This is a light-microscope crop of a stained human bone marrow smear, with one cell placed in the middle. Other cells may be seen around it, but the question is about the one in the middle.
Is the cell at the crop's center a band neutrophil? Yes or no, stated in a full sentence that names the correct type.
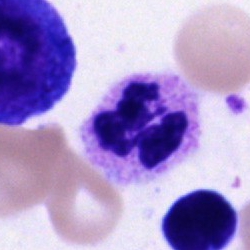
No, rather than a band neutrophil, the central cell is a segmented neutrophil.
